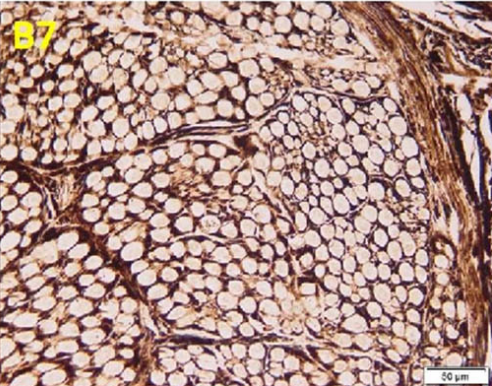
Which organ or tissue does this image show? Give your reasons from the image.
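Nerve. Many small round profiles are packed closely together. The profiles are grouped into bundles bounded by dark bands of connective tissue. A thicker dark fibrous band runs along one side.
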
